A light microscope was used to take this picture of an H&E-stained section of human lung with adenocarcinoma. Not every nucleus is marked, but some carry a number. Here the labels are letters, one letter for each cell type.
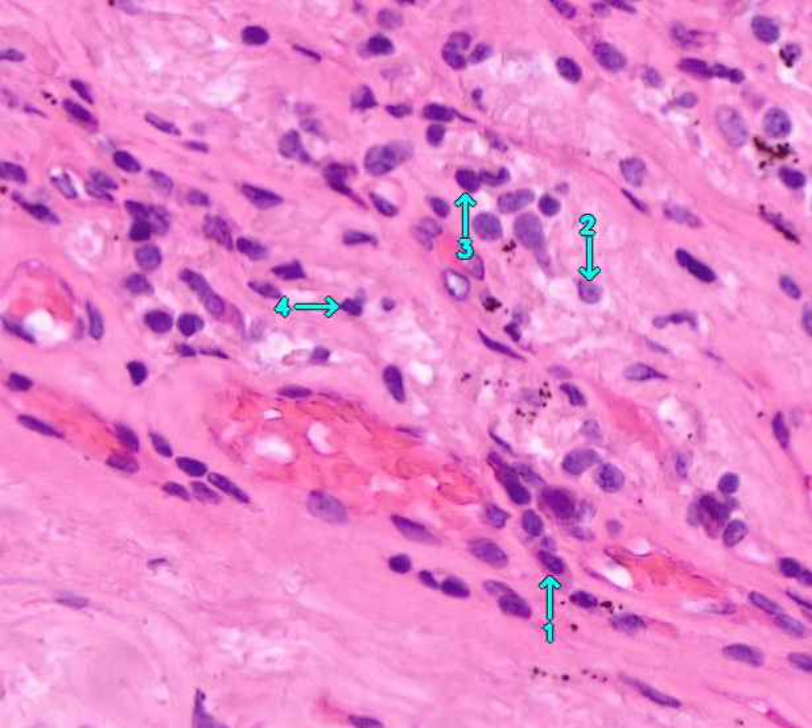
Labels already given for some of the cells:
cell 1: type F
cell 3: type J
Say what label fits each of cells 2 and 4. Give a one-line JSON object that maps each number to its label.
{"2": "type J", "4": "type J"}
